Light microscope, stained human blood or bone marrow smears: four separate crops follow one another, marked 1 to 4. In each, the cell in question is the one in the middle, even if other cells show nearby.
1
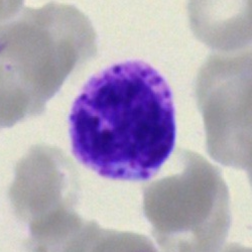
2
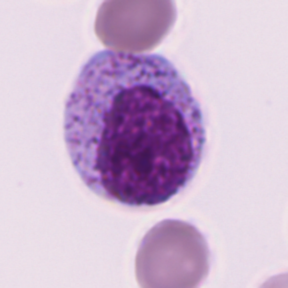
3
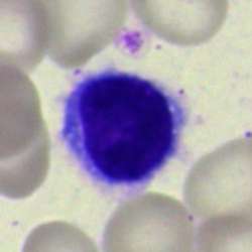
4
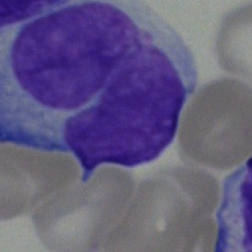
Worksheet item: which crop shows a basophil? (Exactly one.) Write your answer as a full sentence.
Crop 1 is the right one; it is the crop showing a basophil.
